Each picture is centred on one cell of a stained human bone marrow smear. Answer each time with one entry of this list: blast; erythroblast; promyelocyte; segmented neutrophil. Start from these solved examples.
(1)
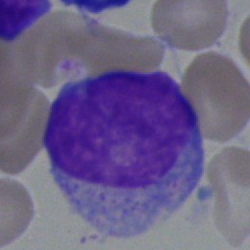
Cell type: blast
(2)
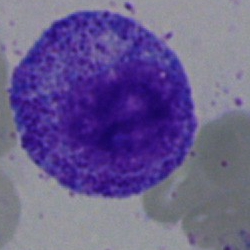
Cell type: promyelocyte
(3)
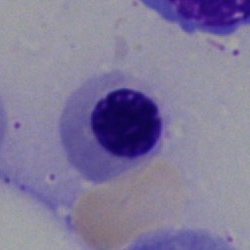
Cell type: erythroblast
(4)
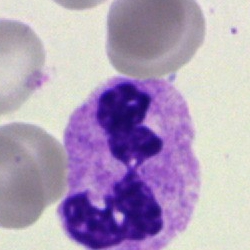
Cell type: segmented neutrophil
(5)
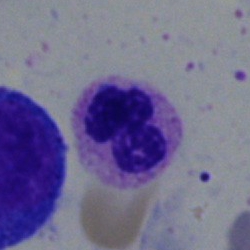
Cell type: segmented neutrophil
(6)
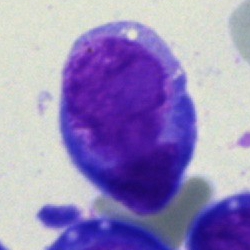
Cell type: blast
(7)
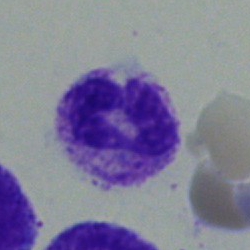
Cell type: segmented neutrophil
